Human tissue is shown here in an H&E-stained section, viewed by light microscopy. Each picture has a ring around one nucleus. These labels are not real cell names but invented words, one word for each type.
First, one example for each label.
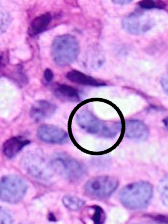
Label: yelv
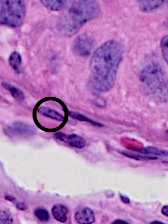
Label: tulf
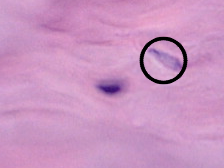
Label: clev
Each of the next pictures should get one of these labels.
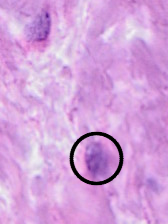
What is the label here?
clev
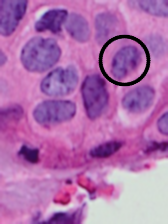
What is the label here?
yelv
